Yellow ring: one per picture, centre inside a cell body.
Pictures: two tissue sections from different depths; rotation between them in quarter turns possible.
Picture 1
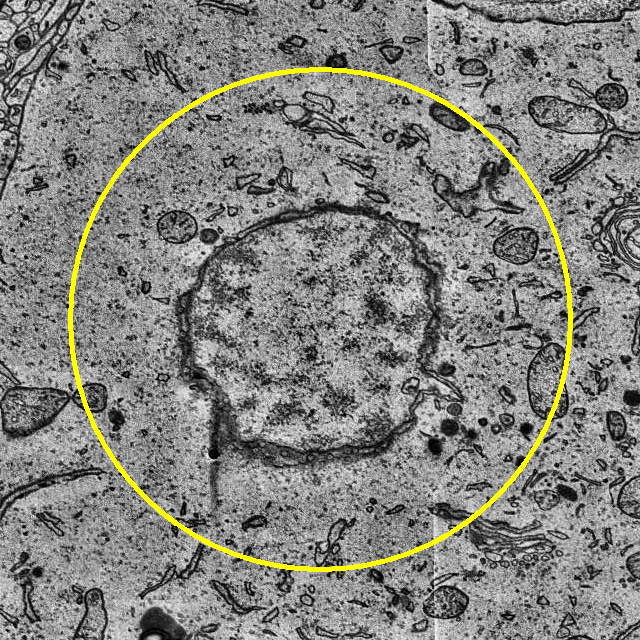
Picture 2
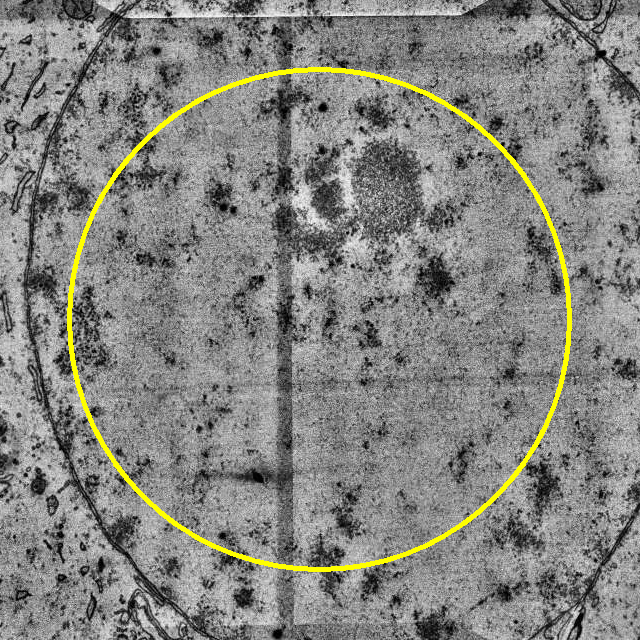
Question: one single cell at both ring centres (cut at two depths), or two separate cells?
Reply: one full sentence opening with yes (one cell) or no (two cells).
Yes, the same cell turns up inside each of the two rings.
